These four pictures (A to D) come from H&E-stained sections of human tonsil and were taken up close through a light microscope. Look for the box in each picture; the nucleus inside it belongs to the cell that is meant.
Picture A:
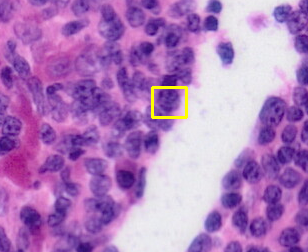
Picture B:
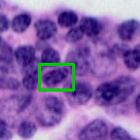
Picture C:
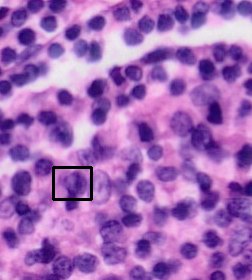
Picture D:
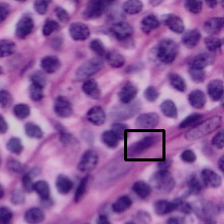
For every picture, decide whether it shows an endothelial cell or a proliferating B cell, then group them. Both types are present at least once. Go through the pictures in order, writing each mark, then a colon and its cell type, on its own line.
A: proliferating B cell
B: proliferating B cell
C: proliferating B cell
D: endothelial cell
